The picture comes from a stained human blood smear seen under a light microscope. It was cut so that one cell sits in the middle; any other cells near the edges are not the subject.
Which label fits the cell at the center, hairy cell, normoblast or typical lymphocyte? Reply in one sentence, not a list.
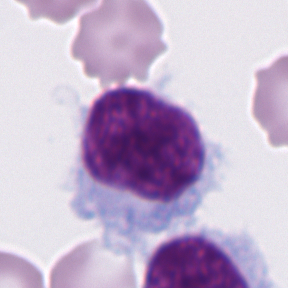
The cell occupying the middle of the crop is a hairy cell.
